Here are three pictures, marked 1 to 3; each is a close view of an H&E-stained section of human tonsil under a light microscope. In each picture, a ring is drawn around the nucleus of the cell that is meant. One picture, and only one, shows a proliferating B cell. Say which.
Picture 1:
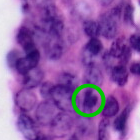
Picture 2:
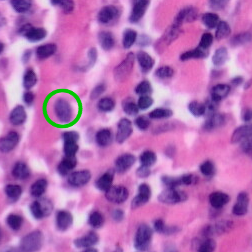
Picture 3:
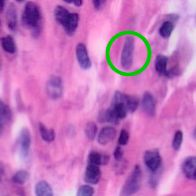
1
